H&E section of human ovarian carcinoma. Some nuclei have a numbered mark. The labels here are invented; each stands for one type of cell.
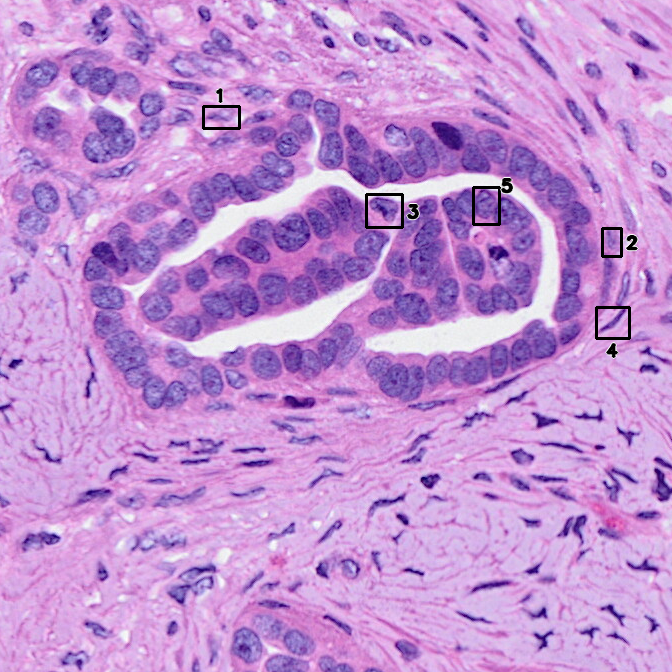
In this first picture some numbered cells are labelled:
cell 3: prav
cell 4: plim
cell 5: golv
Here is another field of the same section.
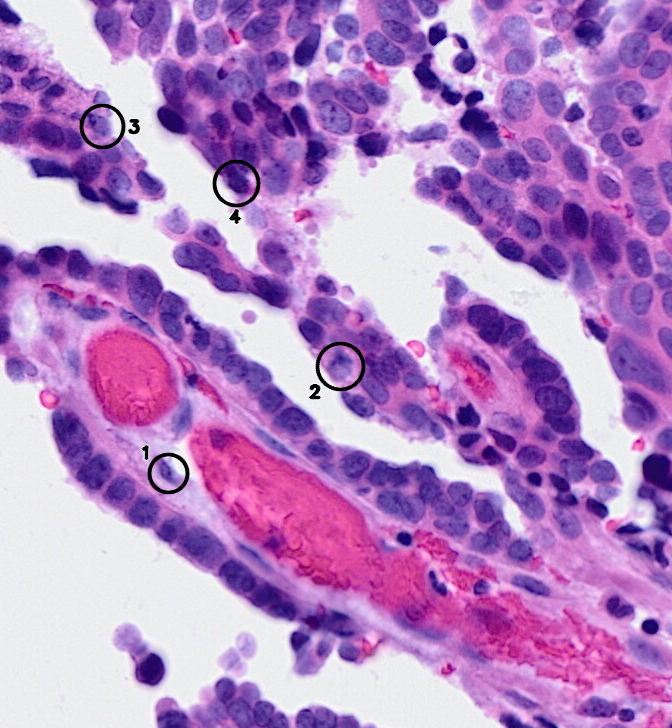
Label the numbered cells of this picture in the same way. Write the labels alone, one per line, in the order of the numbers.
plim
prav
prav
golv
